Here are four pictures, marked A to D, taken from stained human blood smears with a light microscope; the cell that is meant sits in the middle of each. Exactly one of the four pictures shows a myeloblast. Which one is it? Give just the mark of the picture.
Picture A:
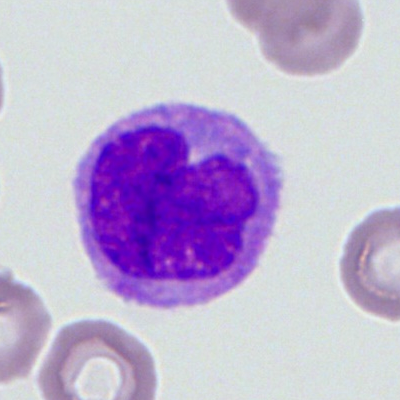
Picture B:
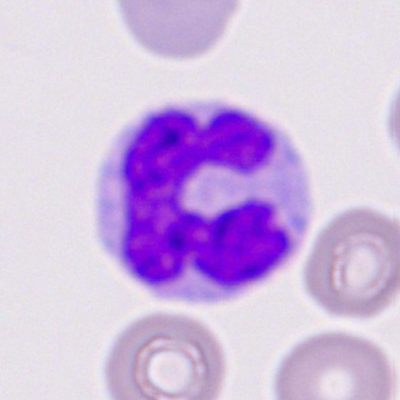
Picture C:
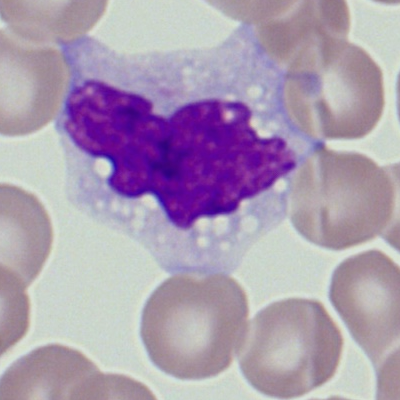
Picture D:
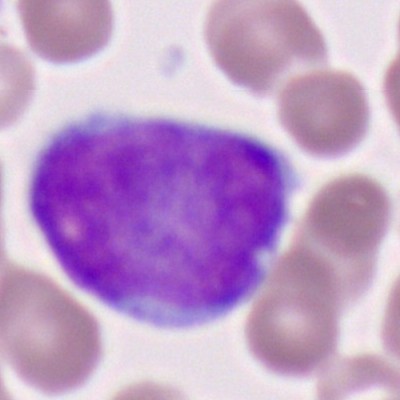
D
